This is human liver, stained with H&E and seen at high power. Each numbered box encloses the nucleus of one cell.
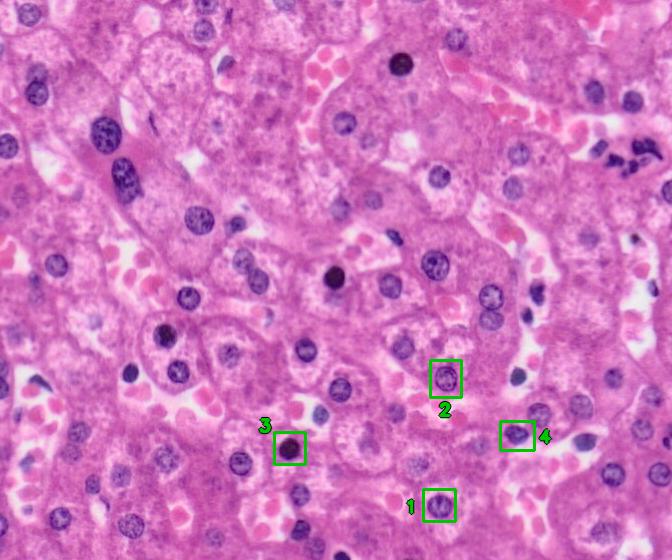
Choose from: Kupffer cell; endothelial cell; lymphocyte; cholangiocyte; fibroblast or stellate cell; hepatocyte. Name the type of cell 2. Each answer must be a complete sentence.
Regarding cell 2, this one is a hepatocyte.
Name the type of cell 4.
In the tissue shown, cell 4 is a fibroblast or stellate cell.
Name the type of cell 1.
Of the numbered cells, the one labelled 1 is a hepatocyte.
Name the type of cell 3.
The nucleus with number 3 is that of a hepatocyte.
